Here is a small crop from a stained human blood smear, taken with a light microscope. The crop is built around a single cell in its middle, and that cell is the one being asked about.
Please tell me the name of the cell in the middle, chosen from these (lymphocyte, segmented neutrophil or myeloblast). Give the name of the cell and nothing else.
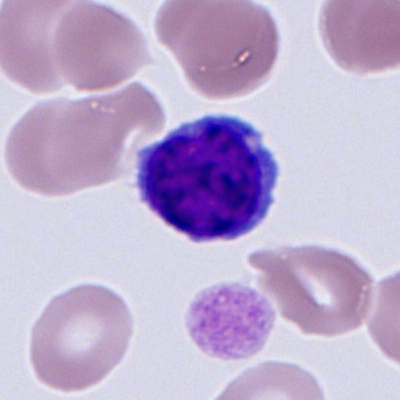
lymphocyte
